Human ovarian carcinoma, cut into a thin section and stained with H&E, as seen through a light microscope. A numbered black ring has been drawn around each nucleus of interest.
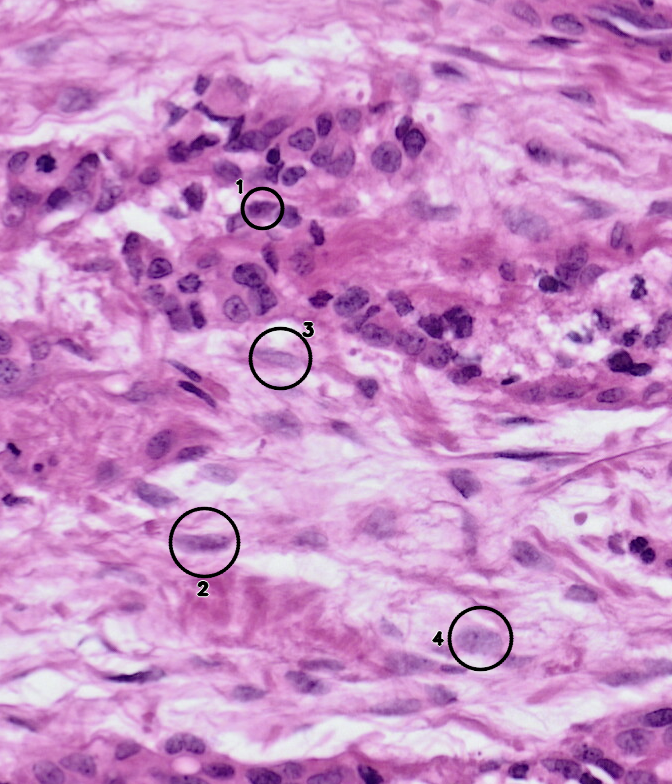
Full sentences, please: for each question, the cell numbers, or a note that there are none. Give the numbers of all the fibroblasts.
The cells which carry the numbers 2, 3 and 4 are fibroblasts.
